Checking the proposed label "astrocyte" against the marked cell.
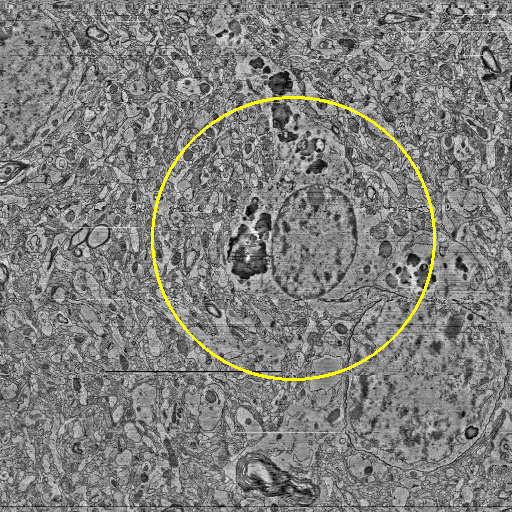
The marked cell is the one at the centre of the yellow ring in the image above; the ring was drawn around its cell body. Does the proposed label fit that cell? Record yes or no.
yes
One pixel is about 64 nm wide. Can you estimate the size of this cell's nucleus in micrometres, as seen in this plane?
Approximately 8 by 5 micrometers in this plane.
